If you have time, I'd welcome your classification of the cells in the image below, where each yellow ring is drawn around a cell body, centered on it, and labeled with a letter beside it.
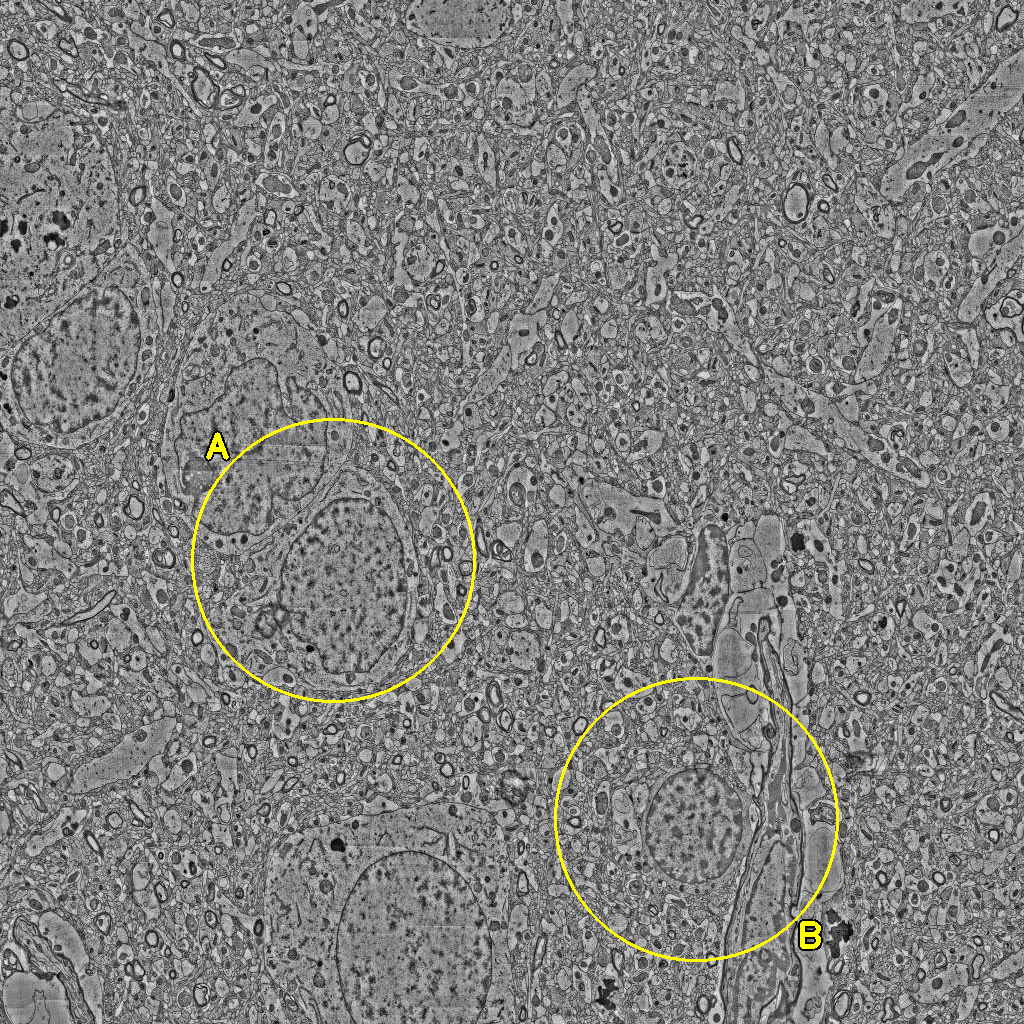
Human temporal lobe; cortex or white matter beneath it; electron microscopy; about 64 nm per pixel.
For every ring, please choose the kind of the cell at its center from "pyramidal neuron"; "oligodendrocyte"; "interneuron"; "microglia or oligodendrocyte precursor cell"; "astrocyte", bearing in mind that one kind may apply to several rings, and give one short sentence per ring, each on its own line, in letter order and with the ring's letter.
At the center of ring A is an interneuron.
At the center of ring B is an oligodendrocyte.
